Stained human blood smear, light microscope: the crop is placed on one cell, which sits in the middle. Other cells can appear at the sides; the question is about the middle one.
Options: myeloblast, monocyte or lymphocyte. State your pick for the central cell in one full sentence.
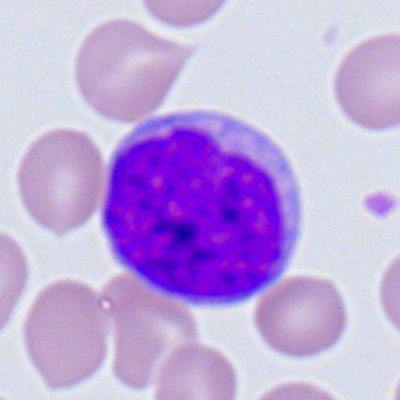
The cell at the centre of the field is a myeloblast.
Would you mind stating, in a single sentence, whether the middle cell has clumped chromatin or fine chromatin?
Take a look at the chromatin, which is coarsely clumped.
